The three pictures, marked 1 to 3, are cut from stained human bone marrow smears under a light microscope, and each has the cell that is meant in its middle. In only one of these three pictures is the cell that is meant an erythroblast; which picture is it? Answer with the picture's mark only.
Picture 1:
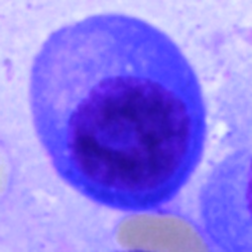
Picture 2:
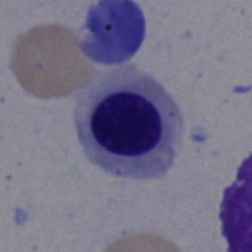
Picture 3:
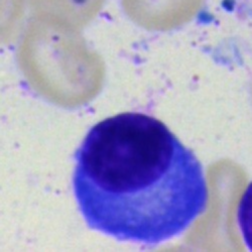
2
